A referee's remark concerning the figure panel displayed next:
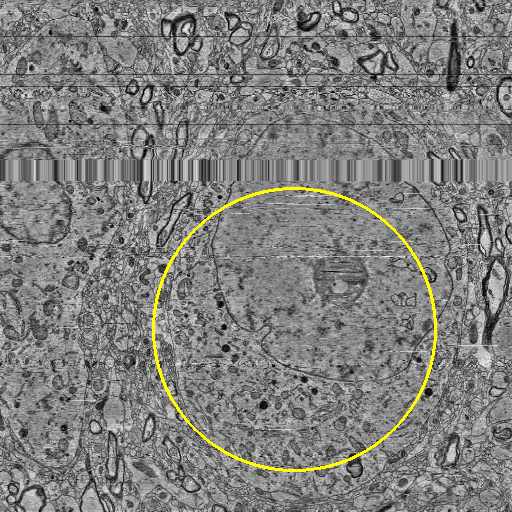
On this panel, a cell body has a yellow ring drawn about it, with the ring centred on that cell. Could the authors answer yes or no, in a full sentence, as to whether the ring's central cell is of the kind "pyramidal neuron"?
Yes, the cell sitting at the middle of the ring on this panel belongs to that kind.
